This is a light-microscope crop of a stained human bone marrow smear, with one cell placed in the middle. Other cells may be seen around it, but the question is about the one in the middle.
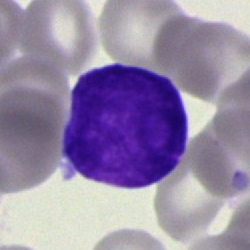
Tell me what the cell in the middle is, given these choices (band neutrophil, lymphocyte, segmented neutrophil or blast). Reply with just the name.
blast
